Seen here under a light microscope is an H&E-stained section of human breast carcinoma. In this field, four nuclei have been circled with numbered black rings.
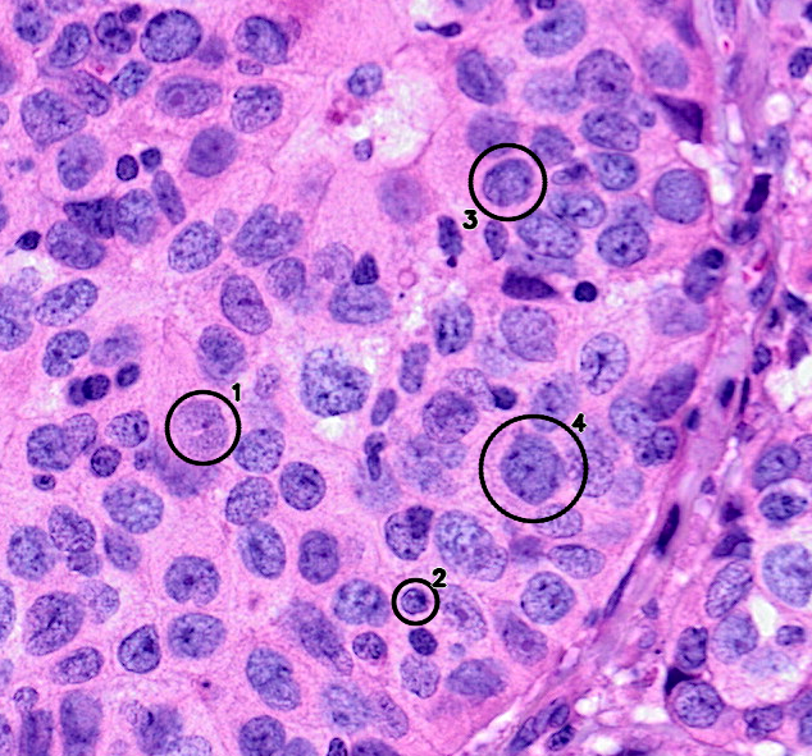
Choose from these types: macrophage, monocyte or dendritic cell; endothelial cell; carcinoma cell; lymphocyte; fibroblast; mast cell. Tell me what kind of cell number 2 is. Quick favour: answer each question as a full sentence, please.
Cell 2 of the marked set is a lymphocyte.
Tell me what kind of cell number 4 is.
The cell whose nucleus carries the number 4 is a carcinoma cell.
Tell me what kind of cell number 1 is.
The marked cell bearing number 1 is a carcinoma cell.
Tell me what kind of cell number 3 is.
The marked nucleus 3 is that of a carcinoma cell.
